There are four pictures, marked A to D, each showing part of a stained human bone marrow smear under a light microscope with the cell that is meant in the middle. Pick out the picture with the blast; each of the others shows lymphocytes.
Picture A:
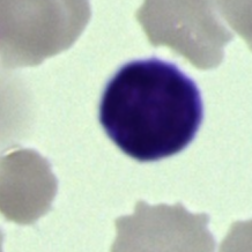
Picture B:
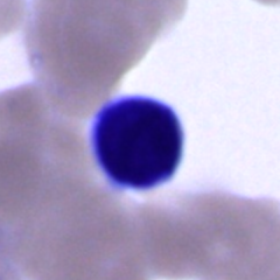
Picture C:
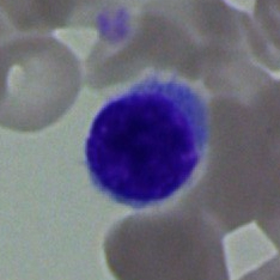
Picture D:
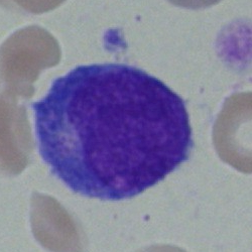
D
